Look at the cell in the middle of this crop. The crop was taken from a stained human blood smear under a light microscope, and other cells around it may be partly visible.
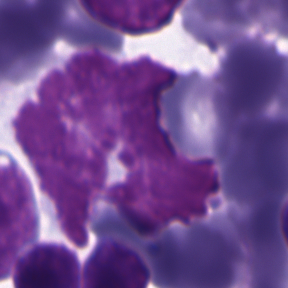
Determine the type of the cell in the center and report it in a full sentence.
Whatever else lies nearby, the middle cell is a smudge cell.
